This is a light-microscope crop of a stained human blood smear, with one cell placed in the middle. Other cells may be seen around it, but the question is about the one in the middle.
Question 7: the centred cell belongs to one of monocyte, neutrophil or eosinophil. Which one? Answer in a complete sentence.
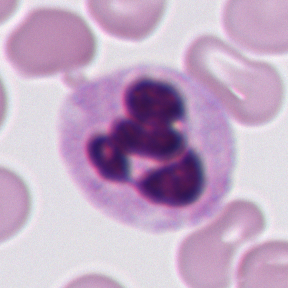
Here the centrally located cell is a neutrophil.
